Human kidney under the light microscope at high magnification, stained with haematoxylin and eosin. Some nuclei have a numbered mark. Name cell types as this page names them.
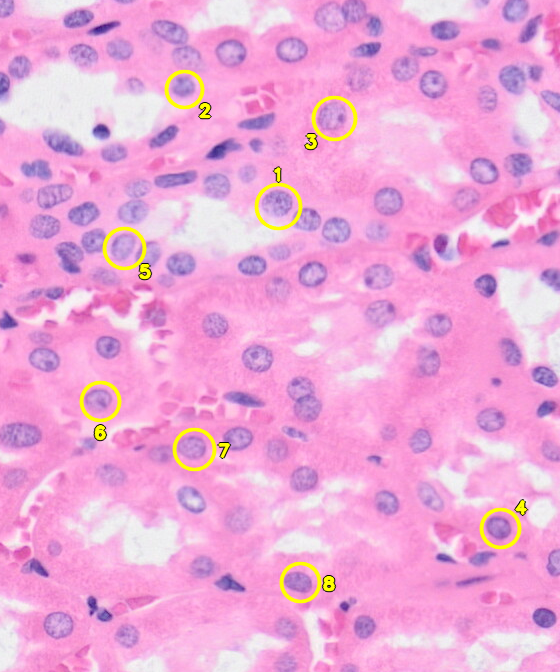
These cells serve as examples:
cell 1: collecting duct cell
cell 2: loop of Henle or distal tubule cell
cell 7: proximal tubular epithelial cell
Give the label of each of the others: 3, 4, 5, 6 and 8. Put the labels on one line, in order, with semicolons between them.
proximal tubular epithelial cell; proximal tubular epithelial cell; collecting duct cell; proximal tubular epithelial cell; proximal tubular epithelial cell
